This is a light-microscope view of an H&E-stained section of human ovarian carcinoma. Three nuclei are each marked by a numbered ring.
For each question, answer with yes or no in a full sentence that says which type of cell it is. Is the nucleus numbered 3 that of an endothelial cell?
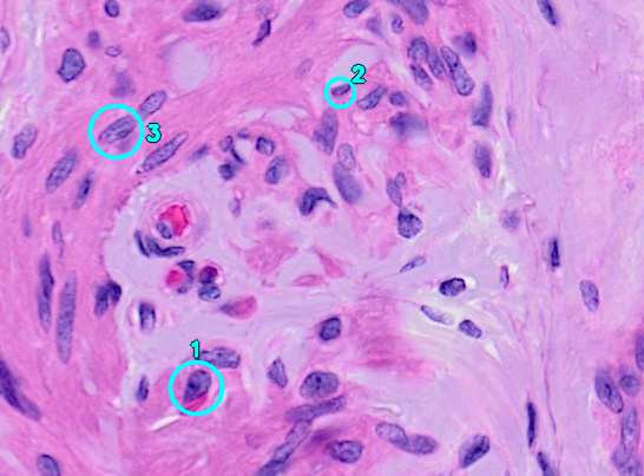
No, cell 3 is not an endothelial cell: it is a smooth muscle cell.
